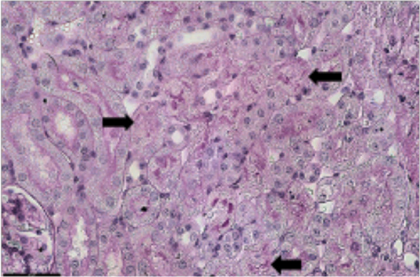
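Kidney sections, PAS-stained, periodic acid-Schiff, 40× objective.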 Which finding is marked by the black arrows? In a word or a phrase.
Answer: Necrotic tubules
